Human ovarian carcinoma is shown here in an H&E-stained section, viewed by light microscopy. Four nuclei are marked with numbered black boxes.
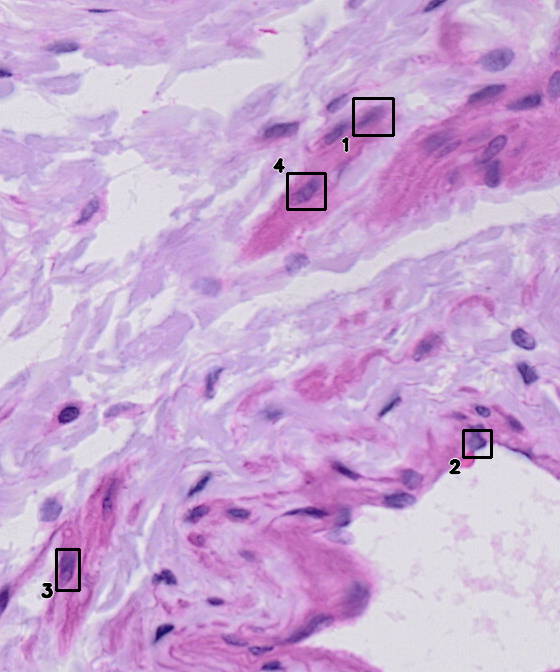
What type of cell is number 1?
smooth muscle cell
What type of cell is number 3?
smooth muscle cell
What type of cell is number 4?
smooth muscle cell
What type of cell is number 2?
endothelial cell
